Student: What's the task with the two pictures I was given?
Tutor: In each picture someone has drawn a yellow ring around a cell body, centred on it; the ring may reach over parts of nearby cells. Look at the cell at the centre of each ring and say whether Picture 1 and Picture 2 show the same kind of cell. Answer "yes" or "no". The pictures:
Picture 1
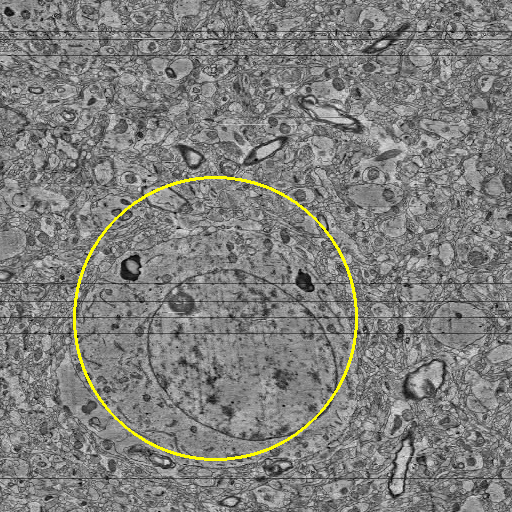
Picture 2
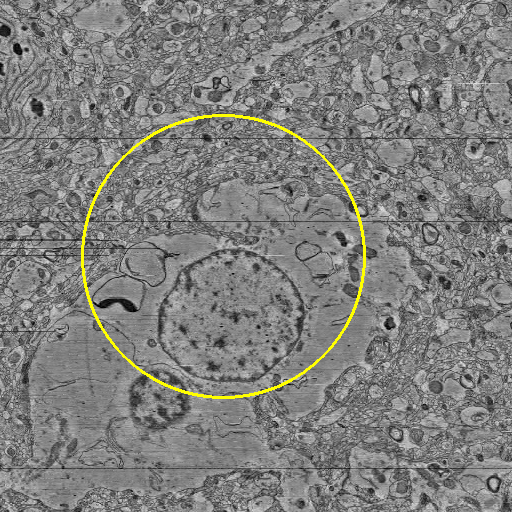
no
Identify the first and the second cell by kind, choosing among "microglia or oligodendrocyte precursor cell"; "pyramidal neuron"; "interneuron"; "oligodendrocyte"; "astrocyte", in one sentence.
The one in the first picture is a pyramidal neuron, while the one in the second is an astrocyte.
